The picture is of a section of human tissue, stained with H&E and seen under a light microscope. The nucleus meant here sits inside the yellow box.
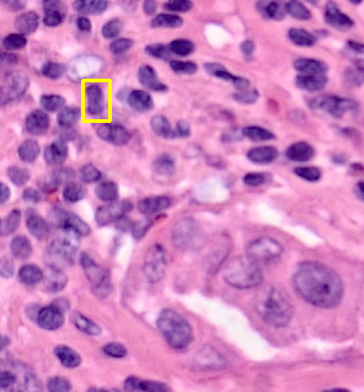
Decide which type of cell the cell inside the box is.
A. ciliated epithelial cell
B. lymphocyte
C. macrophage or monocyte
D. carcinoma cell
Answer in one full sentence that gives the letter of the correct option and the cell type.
Best answer: option B, with the cell inside the box being a lymphocyte.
